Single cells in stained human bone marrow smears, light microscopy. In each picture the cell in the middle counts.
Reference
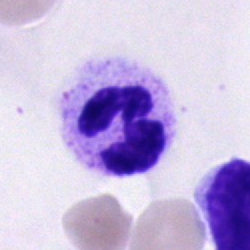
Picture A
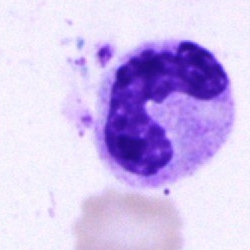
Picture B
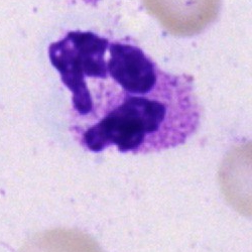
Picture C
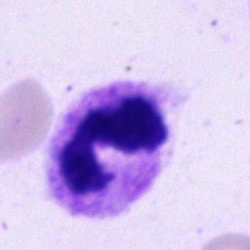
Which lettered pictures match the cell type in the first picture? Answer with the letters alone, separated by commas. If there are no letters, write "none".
B, C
